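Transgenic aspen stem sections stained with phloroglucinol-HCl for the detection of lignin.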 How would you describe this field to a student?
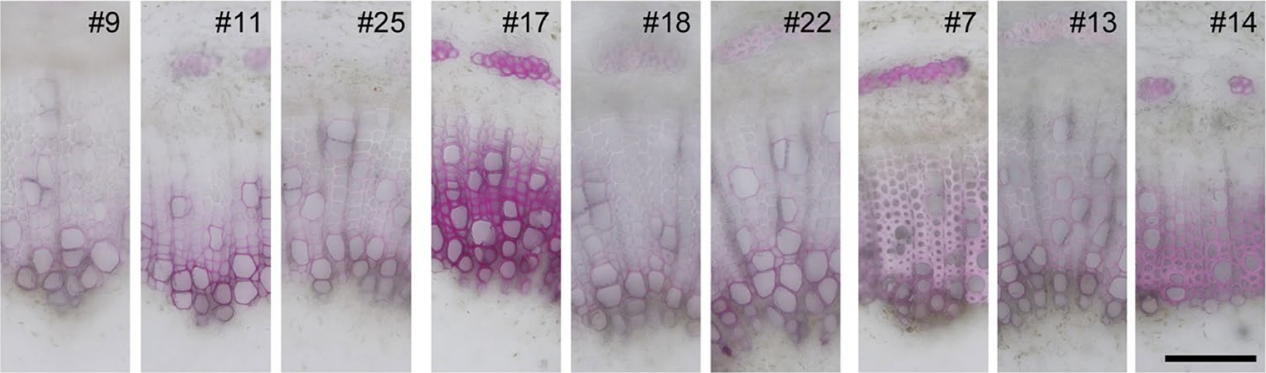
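These are strips of a stem cross-section in which cell walls of the xylem are coloured pink to red while most other tissue stays pale grey. The xylem shows radial files of small cells with large open, polygonal vessels among them. The intensity of the pink-red colour varies strongly between strips, from faint staining limited to the lowest cells to deep red across a wide band. Near the top, small separate bundles of thick-walled cells also stain pink-red. Beyond the coloured zone the cells are thin-walled and unstained.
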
